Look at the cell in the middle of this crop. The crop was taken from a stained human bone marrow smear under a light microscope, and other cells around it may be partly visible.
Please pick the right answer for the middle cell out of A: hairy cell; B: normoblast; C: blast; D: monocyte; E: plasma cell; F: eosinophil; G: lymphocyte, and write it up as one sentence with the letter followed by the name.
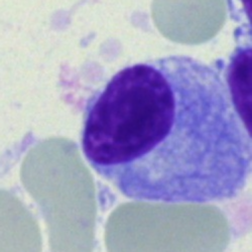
For this crop, option E is right, the centered cell being a plasma cell.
